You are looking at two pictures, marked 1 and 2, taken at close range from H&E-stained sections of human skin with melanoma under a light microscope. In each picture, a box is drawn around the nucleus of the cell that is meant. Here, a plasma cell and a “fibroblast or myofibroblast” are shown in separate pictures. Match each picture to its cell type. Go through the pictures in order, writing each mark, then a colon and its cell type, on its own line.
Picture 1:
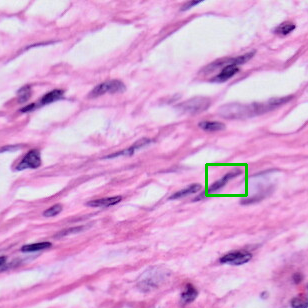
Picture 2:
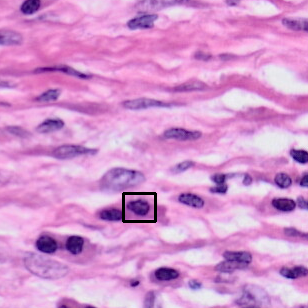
1: fibroblast or myofibroblast
2: plasma cell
